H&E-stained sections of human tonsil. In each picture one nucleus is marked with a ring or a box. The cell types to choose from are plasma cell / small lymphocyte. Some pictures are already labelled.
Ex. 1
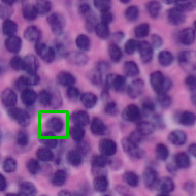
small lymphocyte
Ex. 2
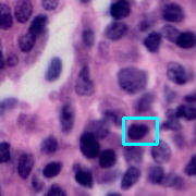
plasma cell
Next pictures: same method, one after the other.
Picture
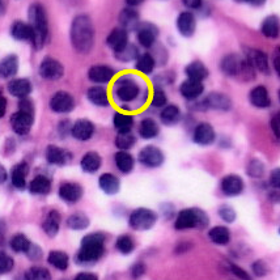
small lymphocyte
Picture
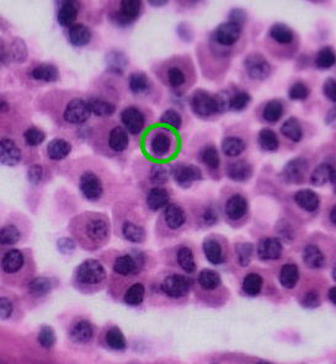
plasma cell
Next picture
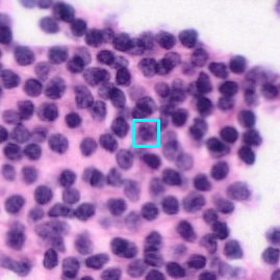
small lymphocyte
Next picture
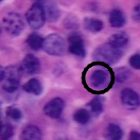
plasma cell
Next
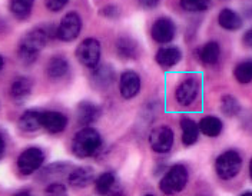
plasma cell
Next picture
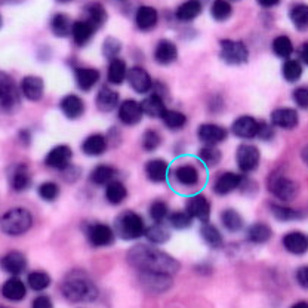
small lymphocyte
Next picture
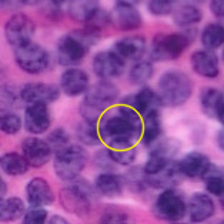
small lymphocyte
